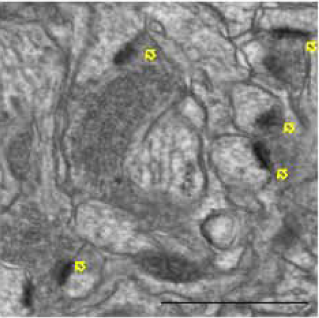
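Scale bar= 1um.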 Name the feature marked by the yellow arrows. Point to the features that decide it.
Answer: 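The arrows point at dark thickenings on apposed membranes. These lie at the edges of rounded profiles in the neuropil. The answer: synapse.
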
